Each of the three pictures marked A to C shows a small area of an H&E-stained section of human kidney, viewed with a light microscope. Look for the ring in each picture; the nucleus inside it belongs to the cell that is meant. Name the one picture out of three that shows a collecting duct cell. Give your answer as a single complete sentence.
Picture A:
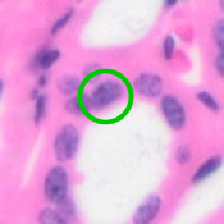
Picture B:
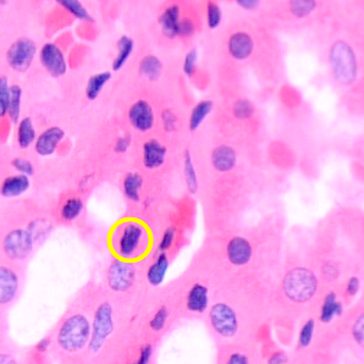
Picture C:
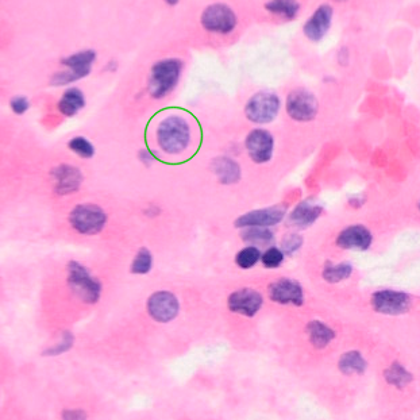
Picture A shows the collecting duct cell.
